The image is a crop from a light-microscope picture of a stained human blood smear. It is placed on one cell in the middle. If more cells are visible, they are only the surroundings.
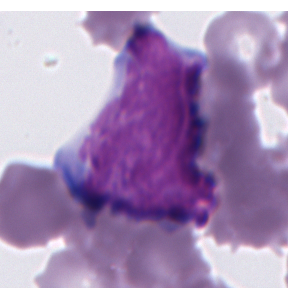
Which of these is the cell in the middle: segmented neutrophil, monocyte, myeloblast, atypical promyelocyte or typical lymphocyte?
myeloblast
